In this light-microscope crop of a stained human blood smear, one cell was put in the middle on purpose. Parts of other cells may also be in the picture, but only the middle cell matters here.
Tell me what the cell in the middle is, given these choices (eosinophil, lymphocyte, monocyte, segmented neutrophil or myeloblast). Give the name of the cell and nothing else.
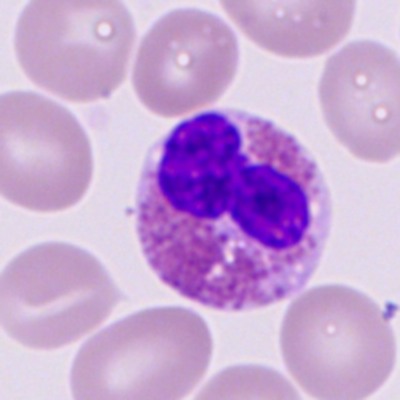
eosinophil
